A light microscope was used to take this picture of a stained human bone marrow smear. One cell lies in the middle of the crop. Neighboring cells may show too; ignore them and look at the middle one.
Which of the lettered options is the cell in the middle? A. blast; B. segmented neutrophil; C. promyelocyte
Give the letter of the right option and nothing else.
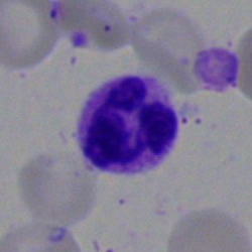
B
